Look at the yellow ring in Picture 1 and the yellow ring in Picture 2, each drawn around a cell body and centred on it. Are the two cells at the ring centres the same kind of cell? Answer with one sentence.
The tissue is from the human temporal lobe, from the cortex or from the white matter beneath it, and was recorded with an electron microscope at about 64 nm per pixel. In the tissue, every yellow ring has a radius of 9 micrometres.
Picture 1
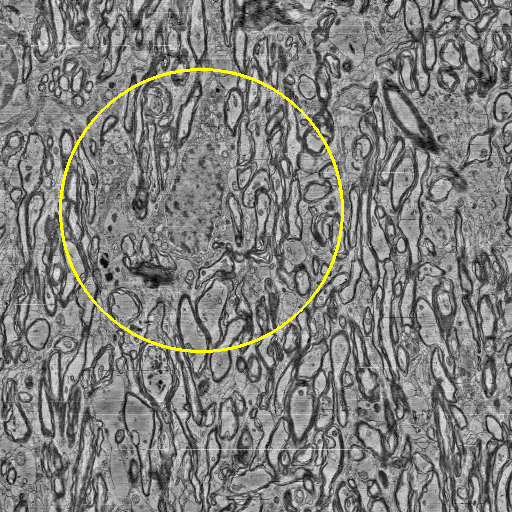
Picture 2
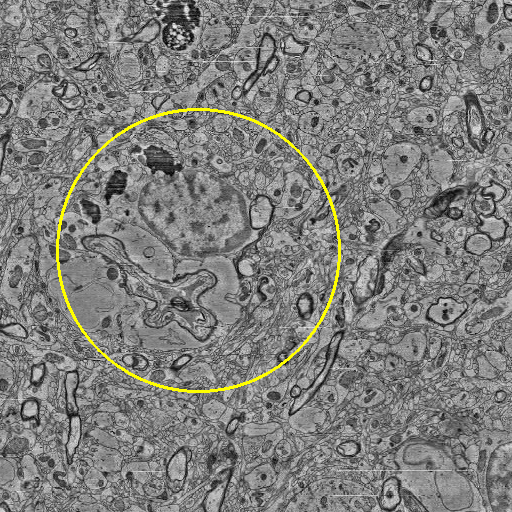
No, they are cells of two kinds.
